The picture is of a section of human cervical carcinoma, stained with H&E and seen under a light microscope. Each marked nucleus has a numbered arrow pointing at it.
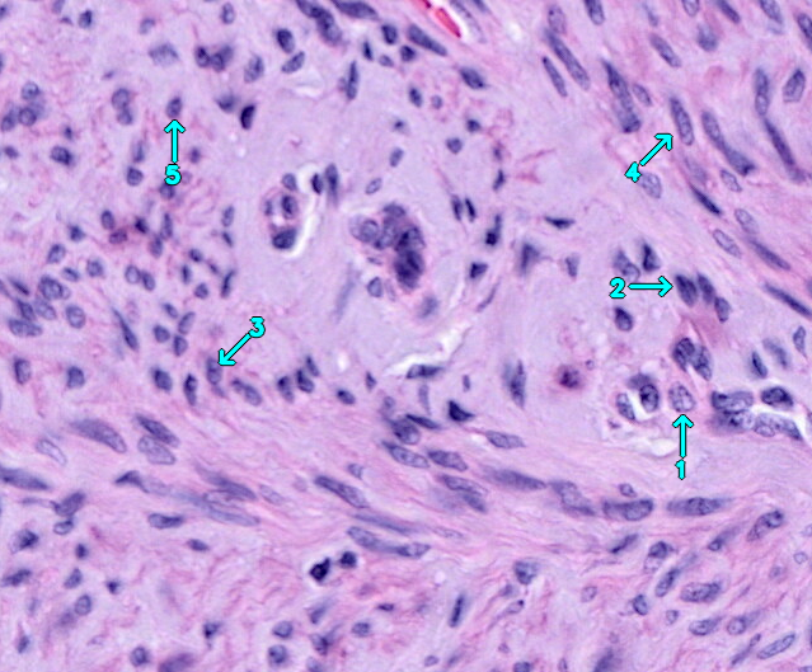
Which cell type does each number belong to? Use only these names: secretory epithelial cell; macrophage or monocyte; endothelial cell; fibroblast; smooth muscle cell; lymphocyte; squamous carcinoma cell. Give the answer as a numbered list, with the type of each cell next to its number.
1. endothelial cell
2. fibroblast
3. smooth muscle cell
4. smooth muscle cell
5. smooth muscle cell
